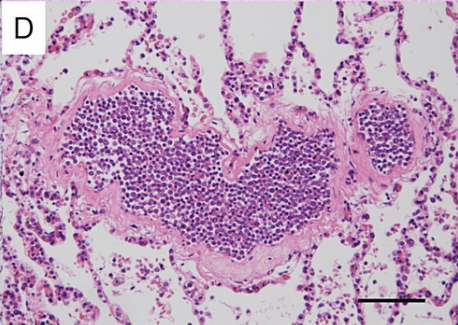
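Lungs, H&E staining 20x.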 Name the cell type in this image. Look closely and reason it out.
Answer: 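The vessel is crowded with many round cells with dark purple nuclei. Few red blood cells lie among them.
Leukemic cells.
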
